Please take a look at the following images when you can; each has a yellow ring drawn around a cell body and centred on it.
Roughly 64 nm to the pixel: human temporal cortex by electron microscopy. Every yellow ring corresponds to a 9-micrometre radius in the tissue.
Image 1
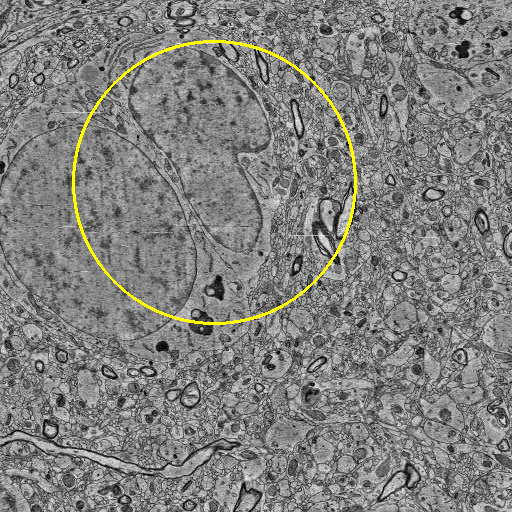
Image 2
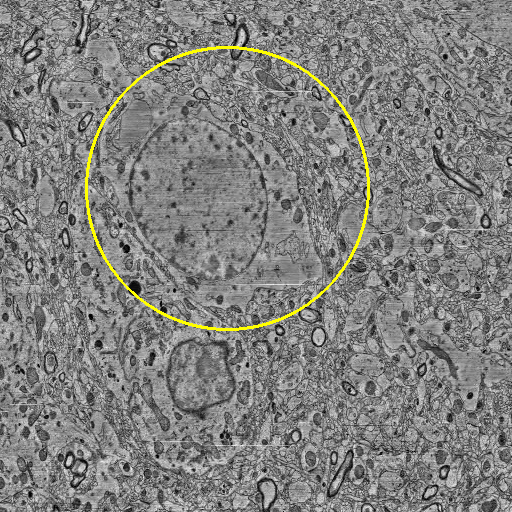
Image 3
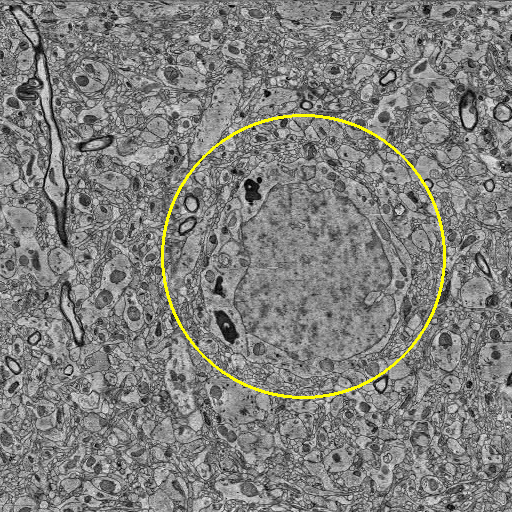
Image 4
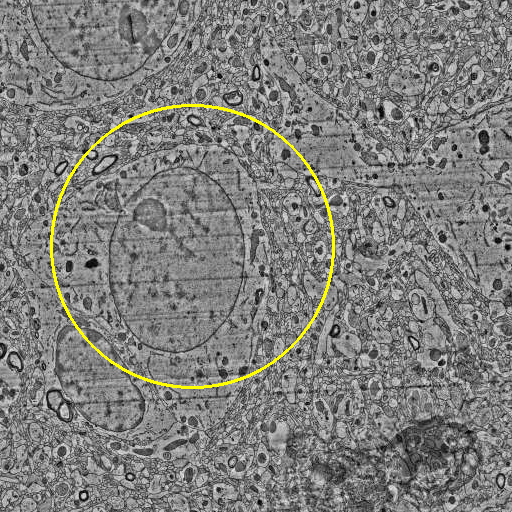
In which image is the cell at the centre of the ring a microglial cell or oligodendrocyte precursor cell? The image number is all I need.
1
